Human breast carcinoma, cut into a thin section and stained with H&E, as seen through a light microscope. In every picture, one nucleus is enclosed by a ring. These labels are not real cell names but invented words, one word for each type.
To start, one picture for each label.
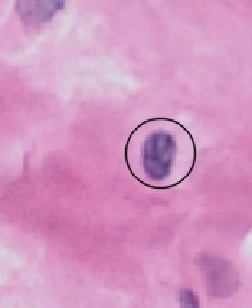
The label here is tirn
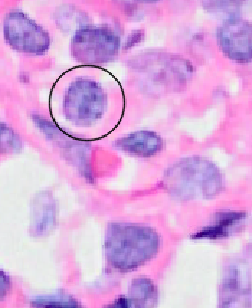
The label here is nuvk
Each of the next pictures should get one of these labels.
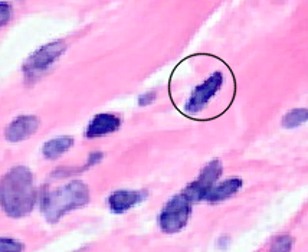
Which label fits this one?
tirn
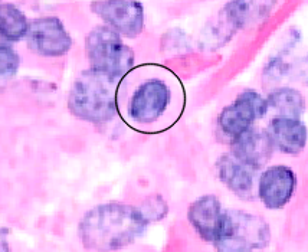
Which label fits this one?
nuvk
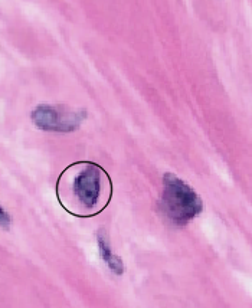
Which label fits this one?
tirn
